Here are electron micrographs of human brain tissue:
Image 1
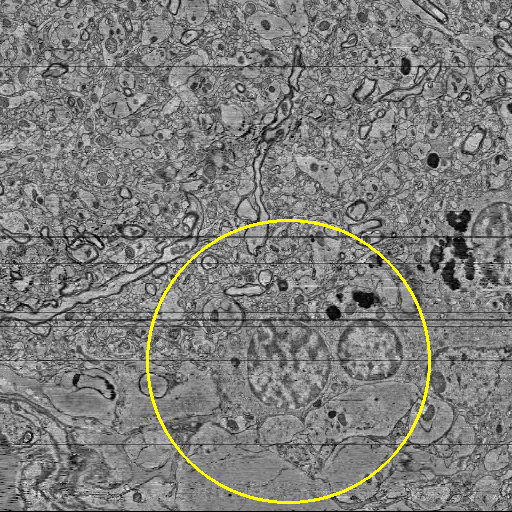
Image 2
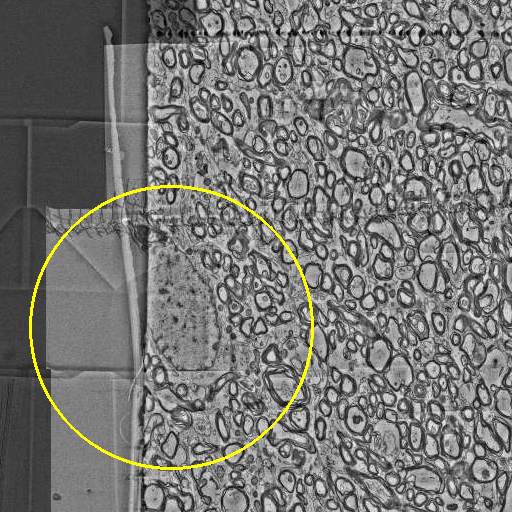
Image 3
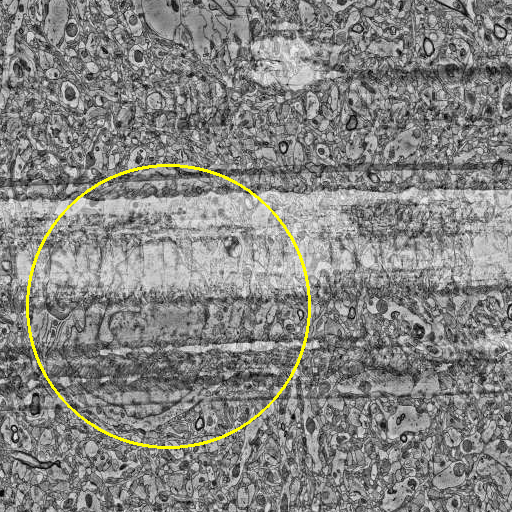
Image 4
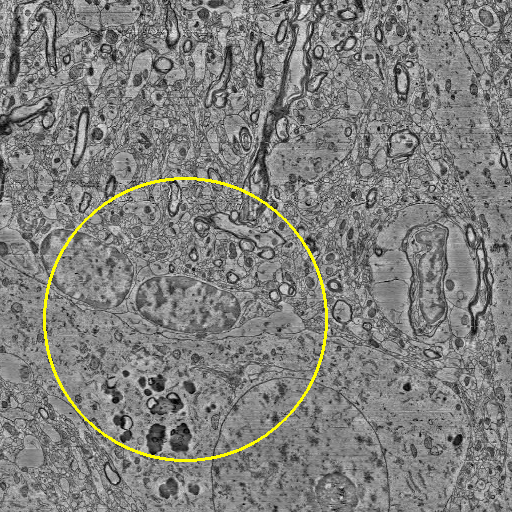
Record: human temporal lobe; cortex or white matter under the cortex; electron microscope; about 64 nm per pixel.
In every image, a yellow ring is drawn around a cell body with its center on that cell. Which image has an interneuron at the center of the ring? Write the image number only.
3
